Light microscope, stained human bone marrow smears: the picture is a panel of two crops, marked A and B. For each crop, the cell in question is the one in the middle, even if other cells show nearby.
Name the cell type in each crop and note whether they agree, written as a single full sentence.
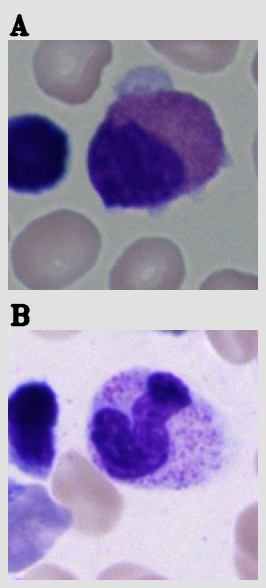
No, it is an eosinophil that crop A shows, and a segmented neutrophil that crop B shows.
